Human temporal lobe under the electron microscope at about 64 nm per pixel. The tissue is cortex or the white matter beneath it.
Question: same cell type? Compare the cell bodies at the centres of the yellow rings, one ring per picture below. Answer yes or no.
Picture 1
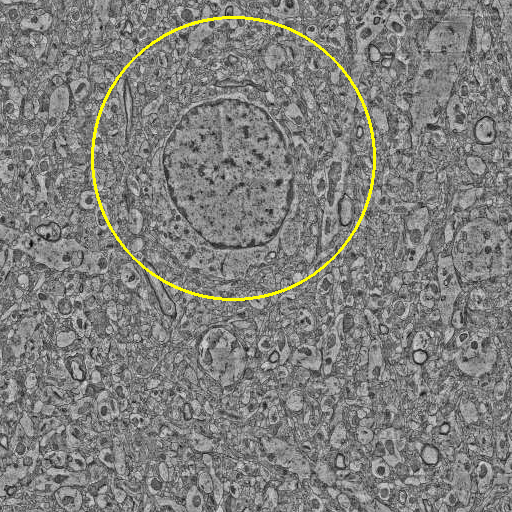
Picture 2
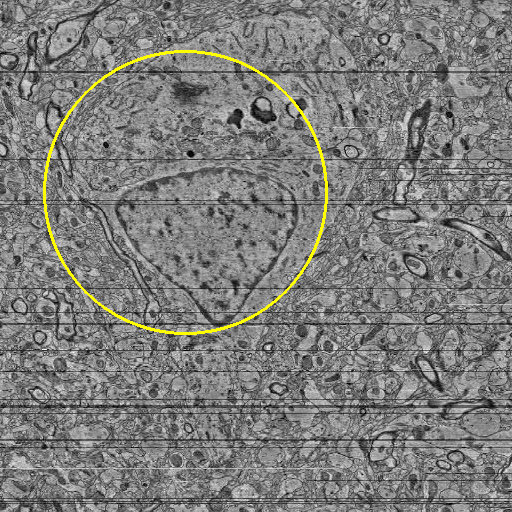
yes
